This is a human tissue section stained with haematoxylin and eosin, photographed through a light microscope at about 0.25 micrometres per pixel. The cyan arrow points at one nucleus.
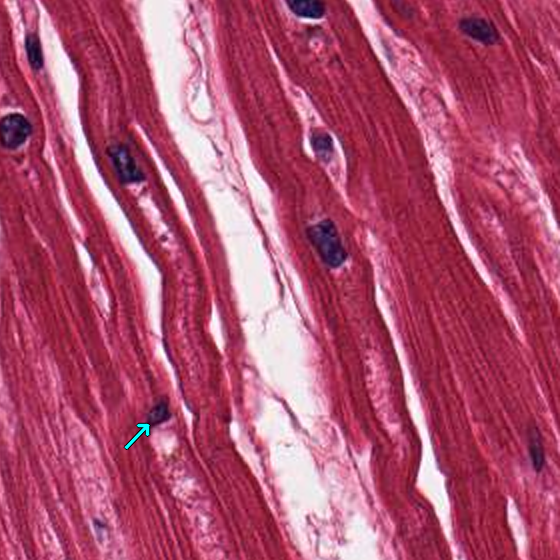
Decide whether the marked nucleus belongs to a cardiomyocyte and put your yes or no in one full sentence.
Yes, the nucleus marked in the image belongs to a cardiomyocyte.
